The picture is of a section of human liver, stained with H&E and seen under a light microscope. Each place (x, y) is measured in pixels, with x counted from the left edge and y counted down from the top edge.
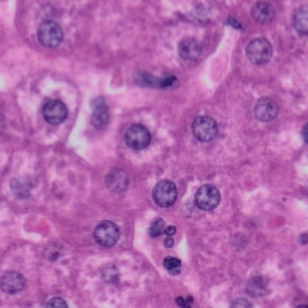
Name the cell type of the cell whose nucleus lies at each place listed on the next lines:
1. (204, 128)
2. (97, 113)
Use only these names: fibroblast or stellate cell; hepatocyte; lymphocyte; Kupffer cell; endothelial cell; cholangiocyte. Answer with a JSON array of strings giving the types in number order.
["hepatocyte", "Kupffer cell"]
